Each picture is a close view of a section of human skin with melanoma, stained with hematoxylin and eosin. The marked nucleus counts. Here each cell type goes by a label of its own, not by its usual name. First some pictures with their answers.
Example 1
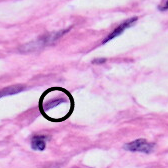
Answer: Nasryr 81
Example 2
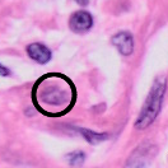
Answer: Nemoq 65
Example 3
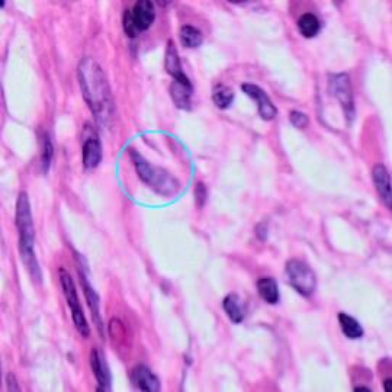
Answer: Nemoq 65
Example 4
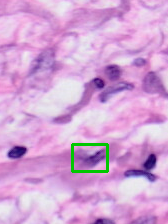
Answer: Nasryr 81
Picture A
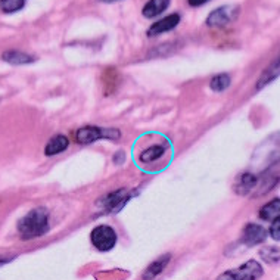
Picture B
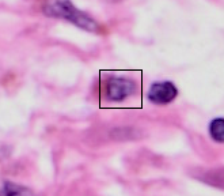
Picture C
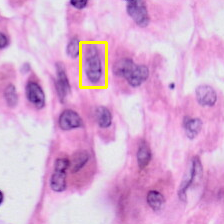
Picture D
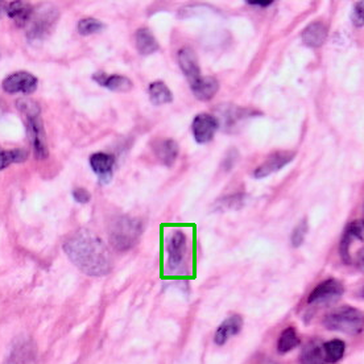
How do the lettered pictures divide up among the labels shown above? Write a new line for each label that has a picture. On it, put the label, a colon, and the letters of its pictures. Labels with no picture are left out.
Nasryr 81: D
Nemoq 65: A, B, C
